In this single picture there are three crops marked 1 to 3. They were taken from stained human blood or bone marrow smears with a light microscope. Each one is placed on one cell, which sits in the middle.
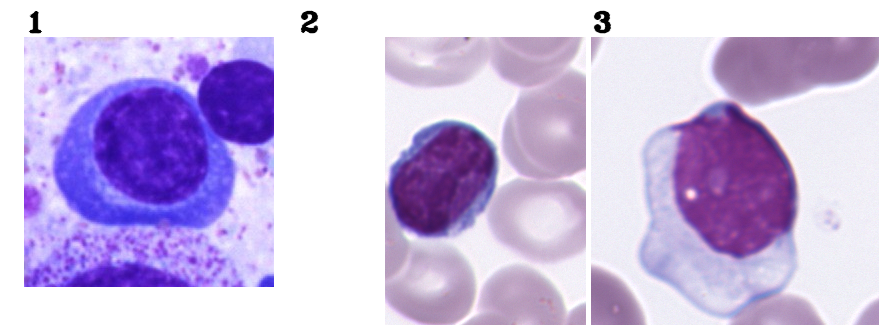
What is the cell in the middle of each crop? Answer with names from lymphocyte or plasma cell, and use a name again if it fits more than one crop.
1: plasma cell
2: lymphocyte
3: lymphocyte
